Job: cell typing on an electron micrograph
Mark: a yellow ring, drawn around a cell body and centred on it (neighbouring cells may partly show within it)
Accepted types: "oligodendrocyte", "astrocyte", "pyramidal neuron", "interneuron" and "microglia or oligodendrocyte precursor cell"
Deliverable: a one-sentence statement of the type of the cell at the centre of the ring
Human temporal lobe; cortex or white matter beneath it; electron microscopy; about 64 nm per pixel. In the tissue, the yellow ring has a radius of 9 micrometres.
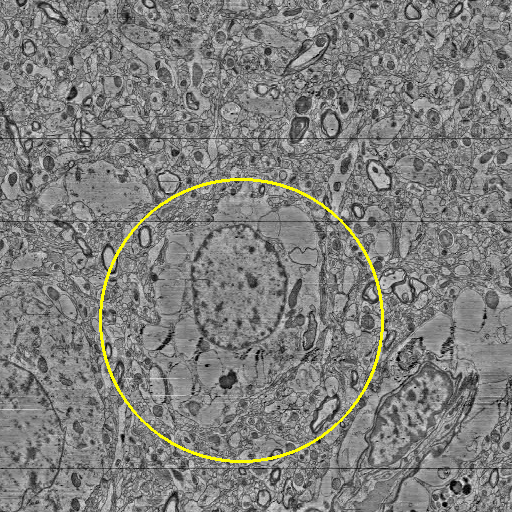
The centred cell body is that of an astrocyte.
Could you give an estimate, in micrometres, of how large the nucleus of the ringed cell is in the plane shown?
About 8 by 6 micrometers, in this plane.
